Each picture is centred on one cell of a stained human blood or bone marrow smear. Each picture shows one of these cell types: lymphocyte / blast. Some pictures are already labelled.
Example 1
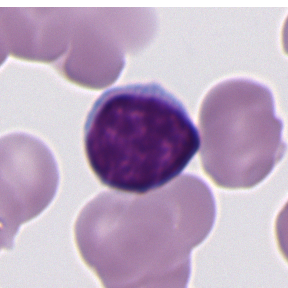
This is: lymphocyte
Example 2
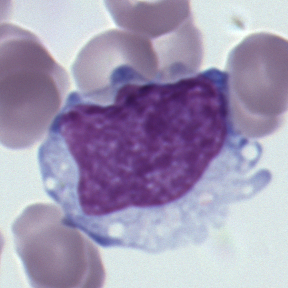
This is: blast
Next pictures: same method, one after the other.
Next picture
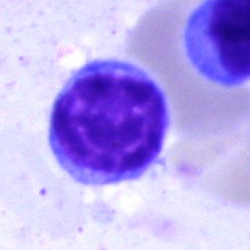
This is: lymphocyte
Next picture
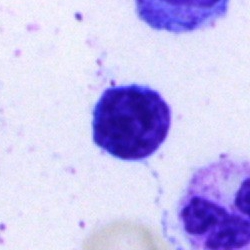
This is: lymphocyte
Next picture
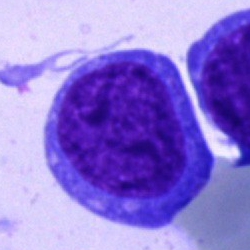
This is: blast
